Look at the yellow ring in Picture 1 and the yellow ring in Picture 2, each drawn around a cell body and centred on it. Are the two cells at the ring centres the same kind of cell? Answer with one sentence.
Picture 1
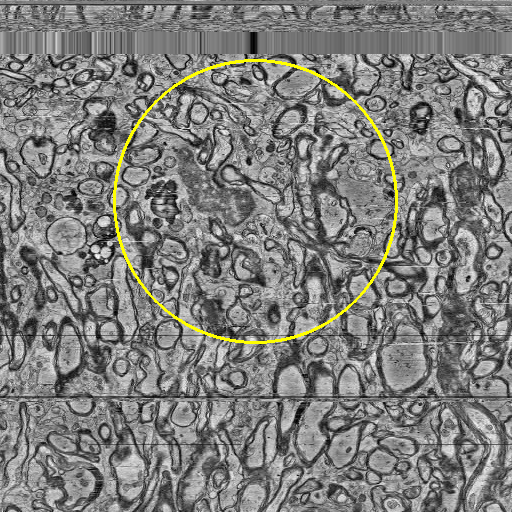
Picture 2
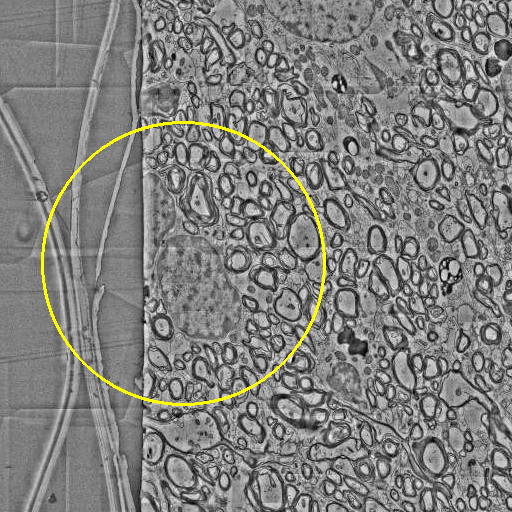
Yes, both are the same kind of cell.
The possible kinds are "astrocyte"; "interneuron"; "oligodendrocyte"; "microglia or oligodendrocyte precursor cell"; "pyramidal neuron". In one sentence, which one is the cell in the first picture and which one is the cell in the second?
In the first picture and in the second, the ring is centred on an oligodendrocyte.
